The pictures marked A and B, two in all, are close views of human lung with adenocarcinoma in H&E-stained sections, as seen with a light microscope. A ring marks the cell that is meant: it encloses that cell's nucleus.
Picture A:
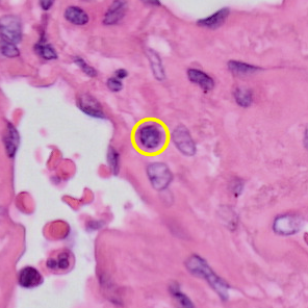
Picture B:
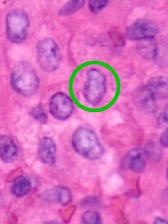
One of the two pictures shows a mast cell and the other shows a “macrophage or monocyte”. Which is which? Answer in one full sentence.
Picture A is of a mast cell, and picture B is of a “macrophage or monocyte”.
